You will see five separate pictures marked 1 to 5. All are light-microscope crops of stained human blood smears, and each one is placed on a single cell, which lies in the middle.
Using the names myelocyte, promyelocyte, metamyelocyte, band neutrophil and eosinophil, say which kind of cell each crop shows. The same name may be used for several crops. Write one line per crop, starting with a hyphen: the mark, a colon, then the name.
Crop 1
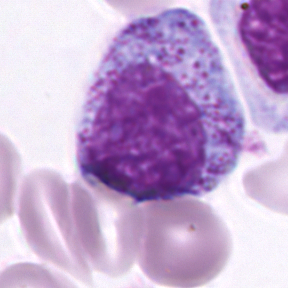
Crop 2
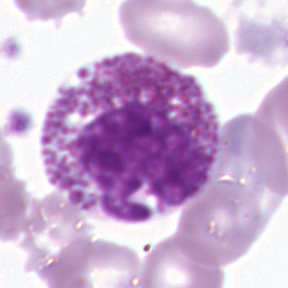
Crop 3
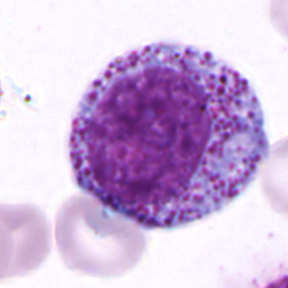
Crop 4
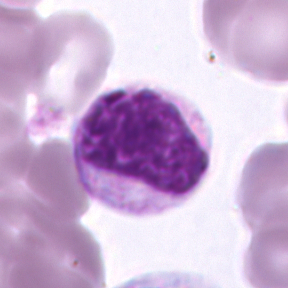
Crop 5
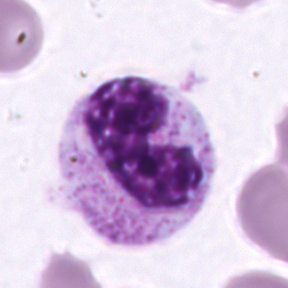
- 1: promyelocyte
- 2: eosinophil
- 3: promyelocyte
- 4: metamyelocyte
- 5: band neutrophil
